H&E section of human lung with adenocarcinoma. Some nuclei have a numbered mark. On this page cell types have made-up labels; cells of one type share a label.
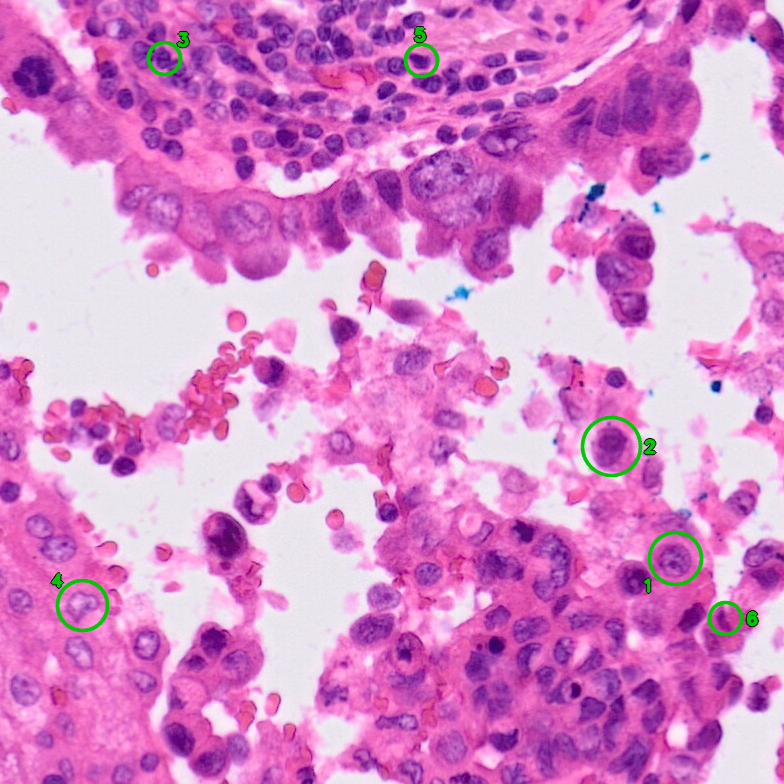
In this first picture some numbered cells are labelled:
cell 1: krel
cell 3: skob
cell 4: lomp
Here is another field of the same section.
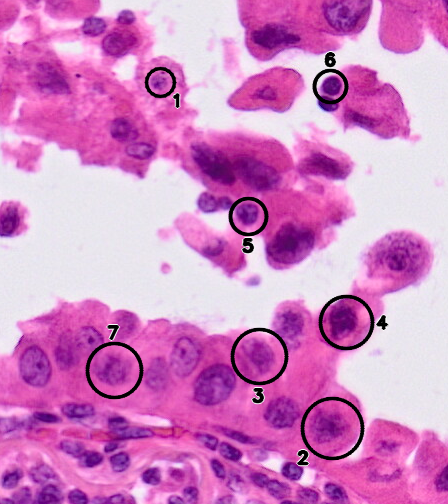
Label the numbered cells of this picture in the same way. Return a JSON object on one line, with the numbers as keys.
{"1": "lomp", "2": "krel", "3": "krel", "4": "krel", "5": "skob", "6": "skob", "7": "krel"}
